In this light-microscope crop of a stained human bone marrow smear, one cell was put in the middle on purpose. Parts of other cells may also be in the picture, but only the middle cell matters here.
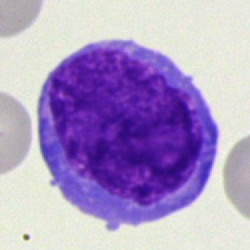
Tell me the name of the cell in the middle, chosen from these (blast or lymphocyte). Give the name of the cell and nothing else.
blast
